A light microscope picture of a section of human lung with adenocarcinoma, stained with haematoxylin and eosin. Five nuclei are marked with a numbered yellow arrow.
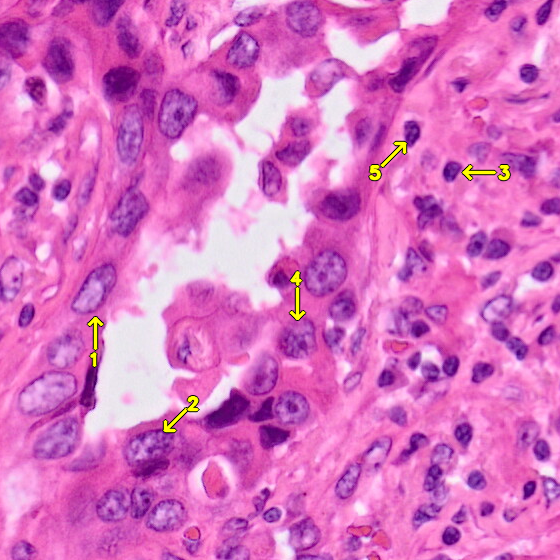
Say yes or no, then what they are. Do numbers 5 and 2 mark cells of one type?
No, listen: cell 5 is a lymphocyte and cell 2 is a carcinoma cell.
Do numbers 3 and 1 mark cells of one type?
No, in contrast to cell 3, which is a lymphocyte, cell 1 is a carcinoma cell.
